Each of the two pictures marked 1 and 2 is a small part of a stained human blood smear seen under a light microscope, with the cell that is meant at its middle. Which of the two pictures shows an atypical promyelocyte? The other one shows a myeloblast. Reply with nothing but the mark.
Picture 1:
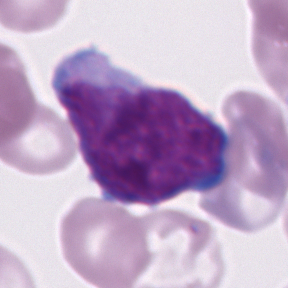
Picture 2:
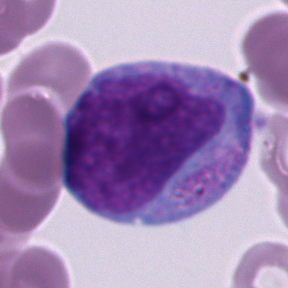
2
